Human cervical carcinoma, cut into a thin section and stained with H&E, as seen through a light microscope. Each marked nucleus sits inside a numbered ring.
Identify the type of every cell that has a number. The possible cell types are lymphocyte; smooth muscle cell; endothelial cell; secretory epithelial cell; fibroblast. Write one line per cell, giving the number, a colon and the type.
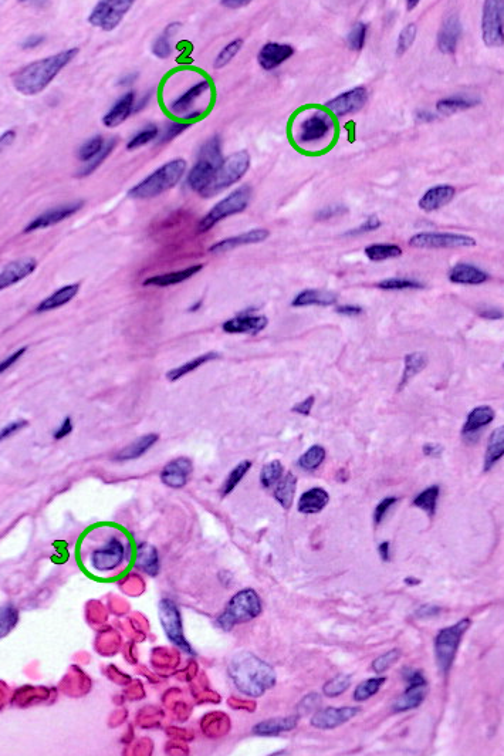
1: lymphocyte
2: fibroblast
3: endothelial cell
